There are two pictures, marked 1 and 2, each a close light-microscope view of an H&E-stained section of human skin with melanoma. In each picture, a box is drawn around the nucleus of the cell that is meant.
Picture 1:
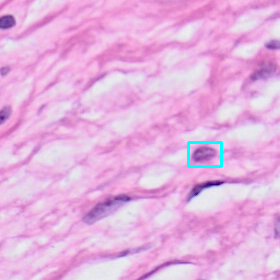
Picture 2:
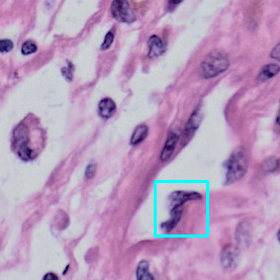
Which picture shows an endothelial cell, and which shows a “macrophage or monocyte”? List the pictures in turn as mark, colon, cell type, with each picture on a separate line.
1: macrophage or monocyte
2: endothelial cell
